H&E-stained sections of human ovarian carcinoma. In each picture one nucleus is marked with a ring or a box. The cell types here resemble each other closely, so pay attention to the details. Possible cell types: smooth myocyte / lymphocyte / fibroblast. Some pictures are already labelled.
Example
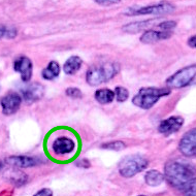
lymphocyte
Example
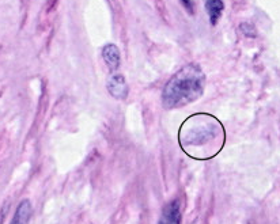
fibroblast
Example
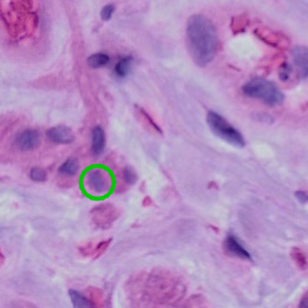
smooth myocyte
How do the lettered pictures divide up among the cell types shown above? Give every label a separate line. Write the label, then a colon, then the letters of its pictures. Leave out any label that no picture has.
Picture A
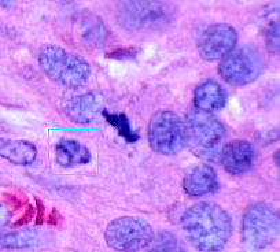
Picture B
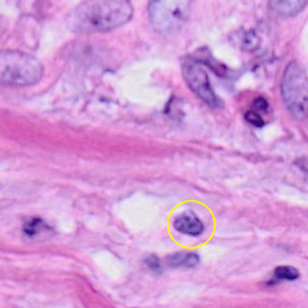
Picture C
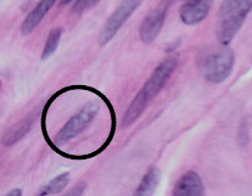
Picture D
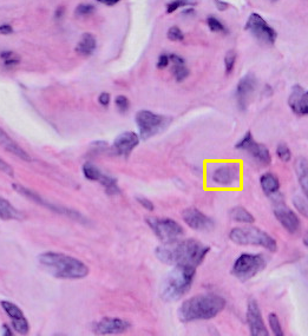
smooth myocyte: C, D
lymphocyte: A, B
